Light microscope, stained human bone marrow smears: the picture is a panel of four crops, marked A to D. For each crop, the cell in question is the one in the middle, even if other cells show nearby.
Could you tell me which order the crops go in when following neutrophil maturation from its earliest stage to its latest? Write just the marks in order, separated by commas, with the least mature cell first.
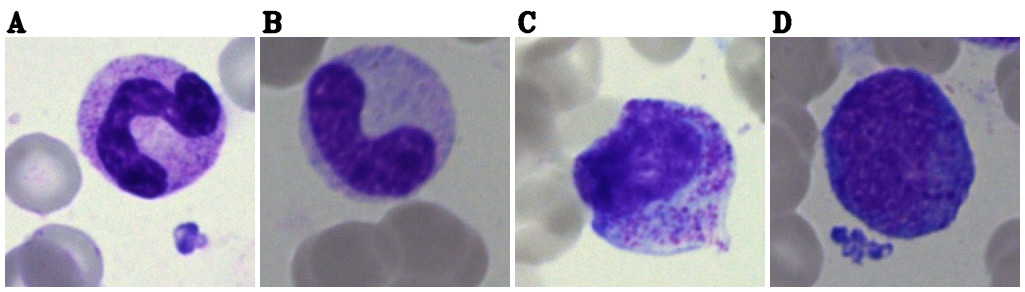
D, C, B, A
